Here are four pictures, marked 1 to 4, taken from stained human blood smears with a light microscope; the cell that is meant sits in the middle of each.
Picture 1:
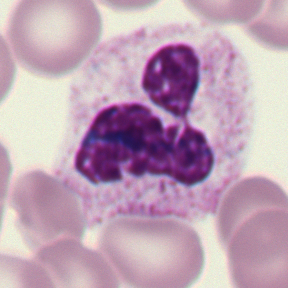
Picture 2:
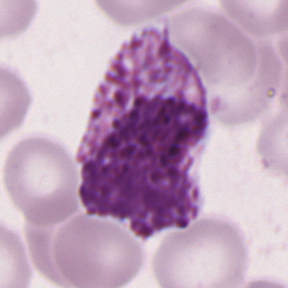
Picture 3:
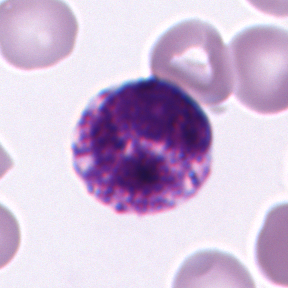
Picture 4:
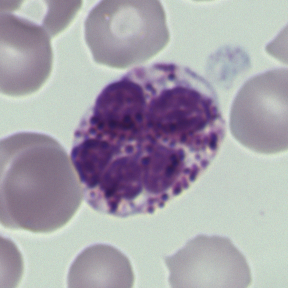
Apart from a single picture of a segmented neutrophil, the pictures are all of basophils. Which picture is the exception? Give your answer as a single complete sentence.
The segmented neutrophil is the one in picture 1.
